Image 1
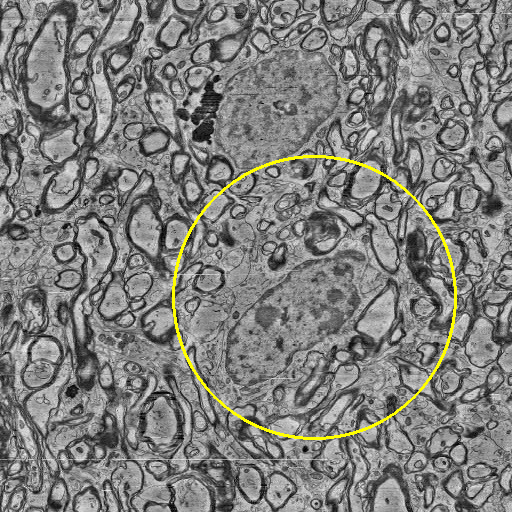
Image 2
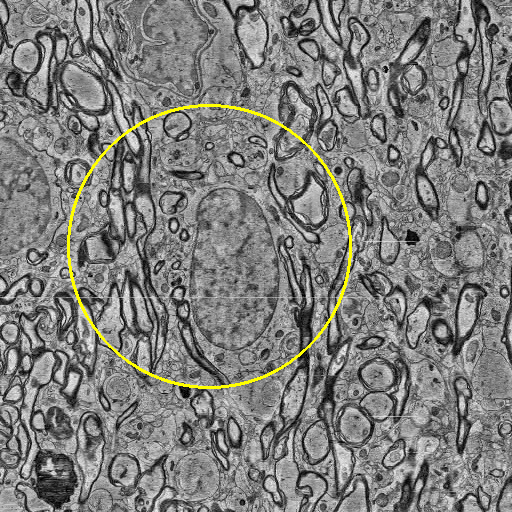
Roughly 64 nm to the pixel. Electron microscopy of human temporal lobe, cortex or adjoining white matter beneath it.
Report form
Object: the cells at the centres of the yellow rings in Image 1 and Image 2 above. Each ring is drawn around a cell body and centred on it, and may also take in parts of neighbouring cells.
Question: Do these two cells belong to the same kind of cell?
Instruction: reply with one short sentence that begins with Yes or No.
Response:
Yes, both belong to the same kind of cell.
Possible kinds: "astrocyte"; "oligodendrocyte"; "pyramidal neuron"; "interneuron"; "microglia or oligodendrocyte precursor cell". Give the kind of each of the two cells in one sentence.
Each cell at the centre of a ring is a microglial cell or oligodendrocyte precursor cell.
